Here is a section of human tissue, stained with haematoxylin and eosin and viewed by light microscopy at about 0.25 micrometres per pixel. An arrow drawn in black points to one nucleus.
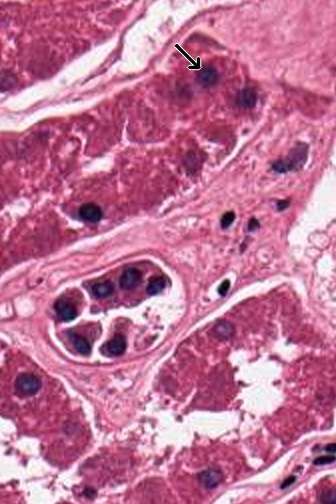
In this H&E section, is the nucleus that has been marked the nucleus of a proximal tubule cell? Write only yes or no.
yes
